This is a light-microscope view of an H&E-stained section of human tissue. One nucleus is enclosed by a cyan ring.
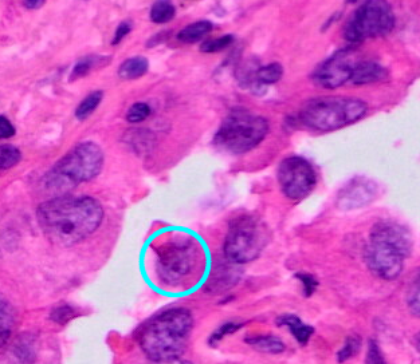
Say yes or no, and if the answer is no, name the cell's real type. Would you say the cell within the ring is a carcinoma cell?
Yes.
